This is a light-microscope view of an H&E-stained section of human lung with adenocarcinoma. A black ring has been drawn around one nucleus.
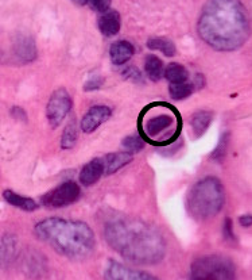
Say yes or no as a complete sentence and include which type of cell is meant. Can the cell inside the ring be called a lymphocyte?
Yes, the cell inside the ring is correctly named as a lymphocyte.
